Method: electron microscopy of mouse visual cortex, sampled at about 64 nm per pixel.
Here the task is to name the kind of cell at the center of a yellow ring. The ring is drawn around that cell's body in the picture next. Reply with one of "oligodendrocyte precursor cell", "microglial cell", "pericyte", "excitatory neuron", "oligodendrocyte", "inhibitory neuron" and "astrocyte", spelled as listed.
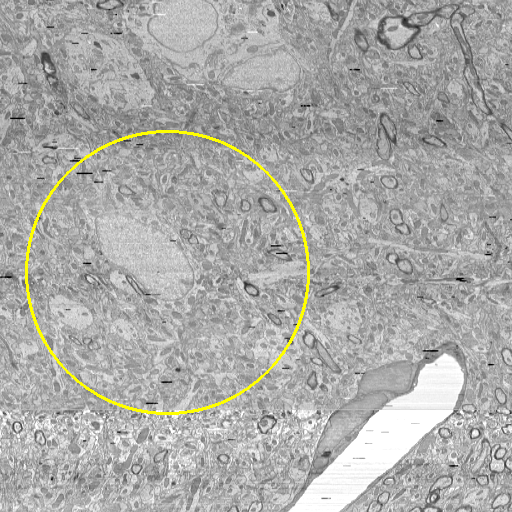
astrocyte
